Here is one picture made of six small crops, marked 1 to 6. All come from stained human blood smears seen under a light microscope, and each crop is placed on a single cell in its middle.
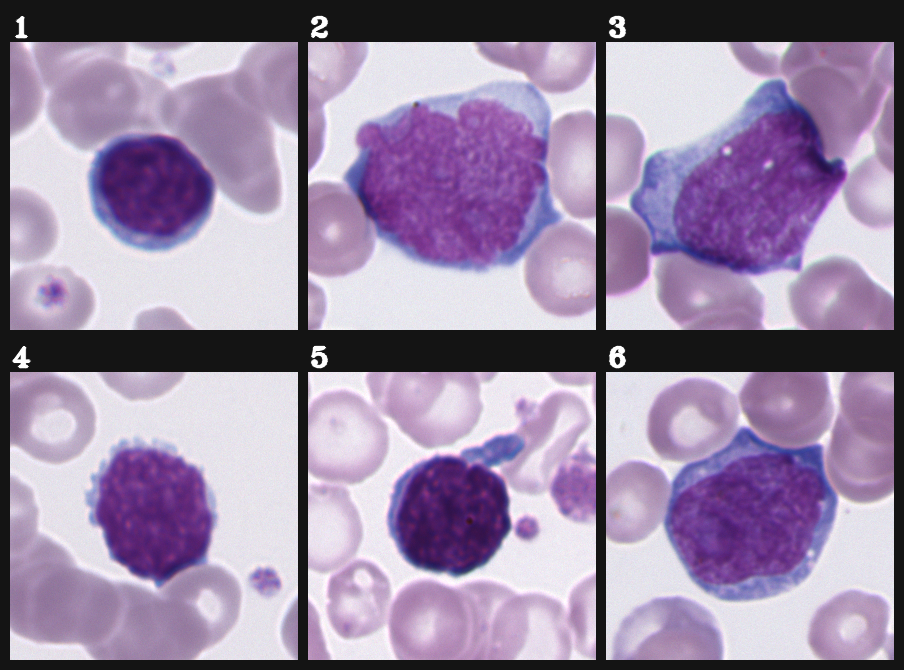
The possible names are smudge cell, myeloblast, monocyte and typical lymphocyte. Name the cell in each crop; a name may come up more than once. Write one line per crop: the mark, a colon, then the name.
1: typical lymphocyte
2: myeloblast
3: myeloblast
4: typical lymphocyte
5: typical lymphocyte
6: myeloblast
